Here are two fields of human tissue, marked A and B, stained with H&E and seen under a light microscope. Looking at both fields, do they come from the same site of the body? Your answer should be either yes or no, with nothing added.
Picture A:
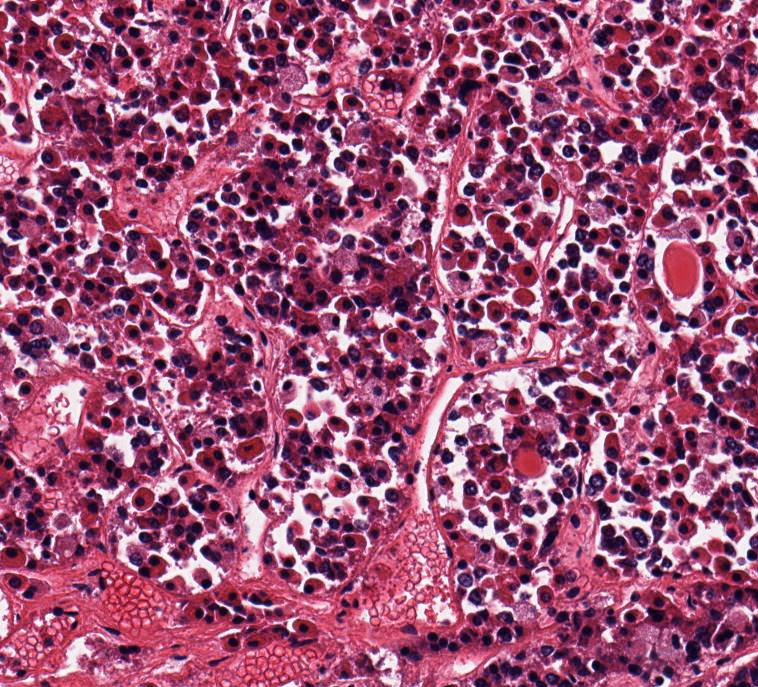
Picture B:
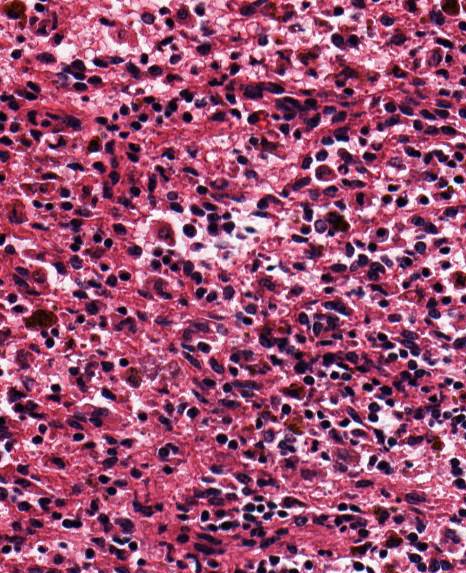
no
